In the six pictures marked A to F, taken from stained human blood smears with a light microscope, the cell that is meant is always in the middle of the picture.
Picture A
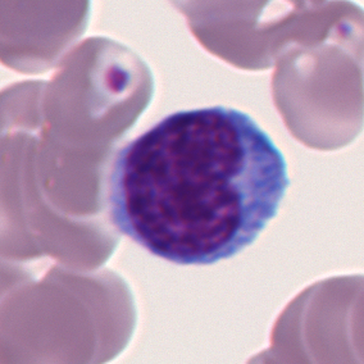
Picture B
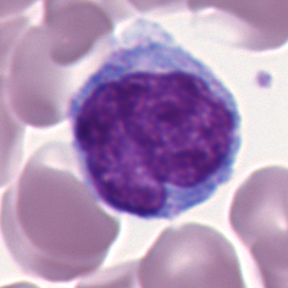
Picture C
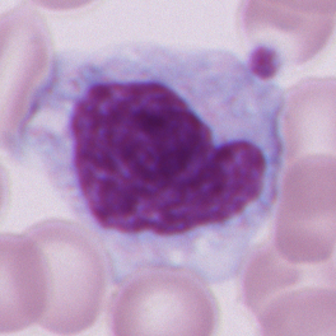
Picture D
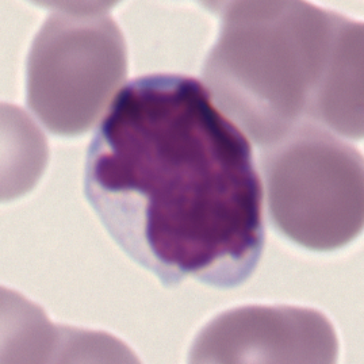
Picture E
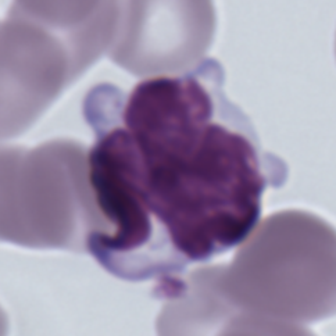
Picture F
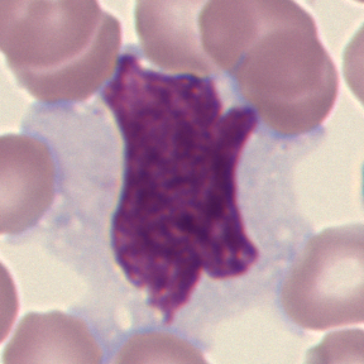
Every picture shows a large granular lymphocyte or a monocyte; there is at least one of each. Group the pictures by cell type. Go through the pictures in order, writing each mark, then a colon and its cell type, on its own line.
A: monocyte
B: monocyte
C: monocyte
D: large granular lymphocyte
E: large granular lymphocyte
F: monocyte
